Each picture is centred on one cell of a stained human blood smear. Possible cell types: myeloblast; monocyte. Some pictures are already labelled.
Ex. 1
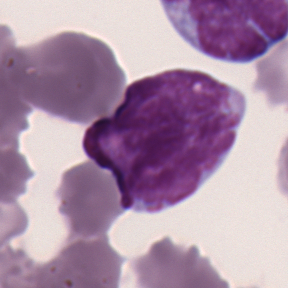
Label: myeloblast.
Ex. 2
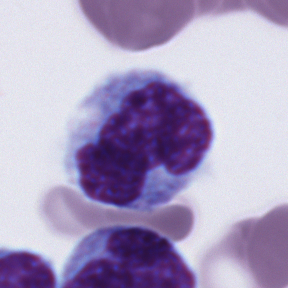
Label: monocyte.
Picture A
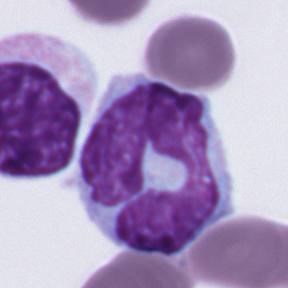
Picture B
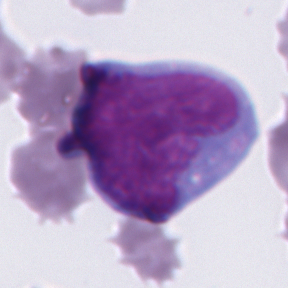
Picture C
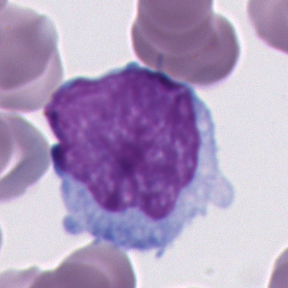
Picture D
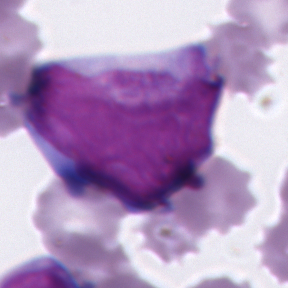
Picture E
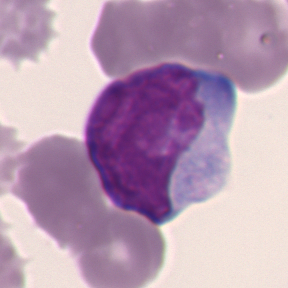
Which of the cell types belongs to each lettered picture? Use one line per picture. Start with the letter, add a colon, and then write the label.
A: monocyte.
B: myeloblast.
C: myeloblast.
D: myeloblast.
E: myeloblast.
